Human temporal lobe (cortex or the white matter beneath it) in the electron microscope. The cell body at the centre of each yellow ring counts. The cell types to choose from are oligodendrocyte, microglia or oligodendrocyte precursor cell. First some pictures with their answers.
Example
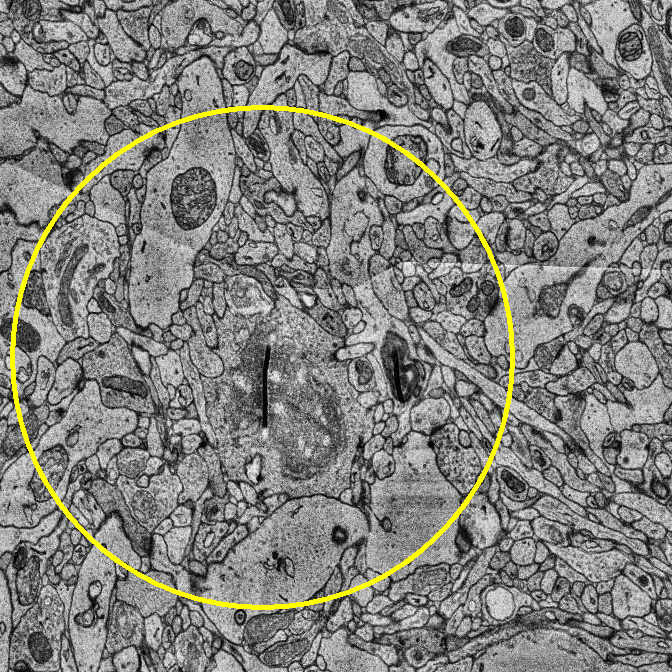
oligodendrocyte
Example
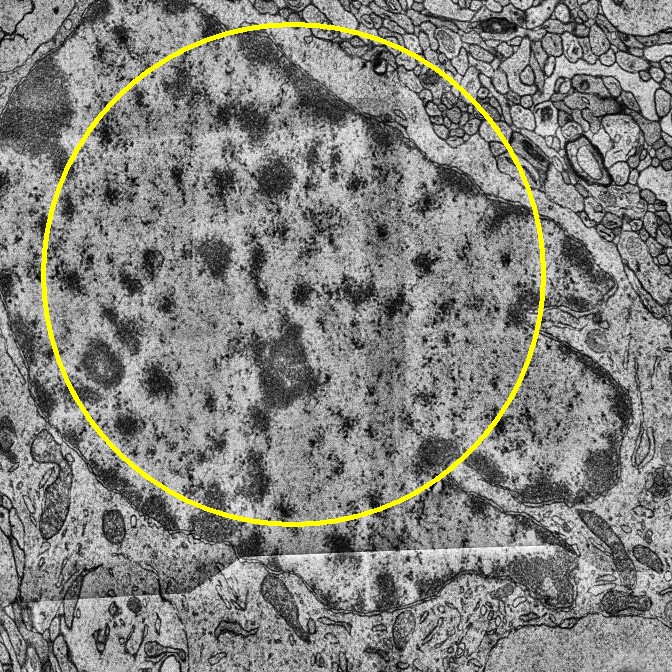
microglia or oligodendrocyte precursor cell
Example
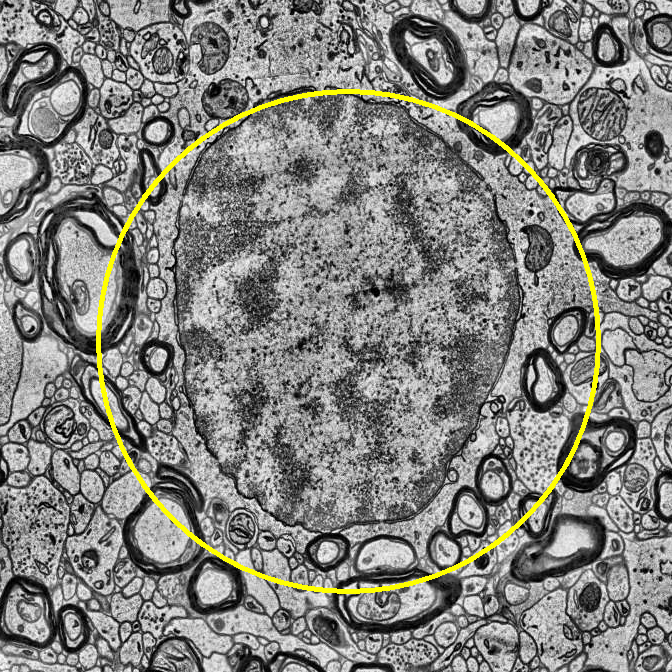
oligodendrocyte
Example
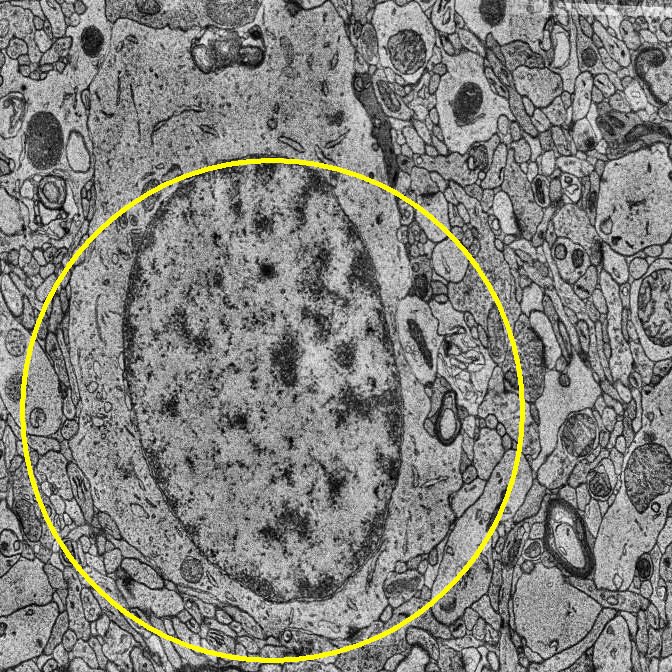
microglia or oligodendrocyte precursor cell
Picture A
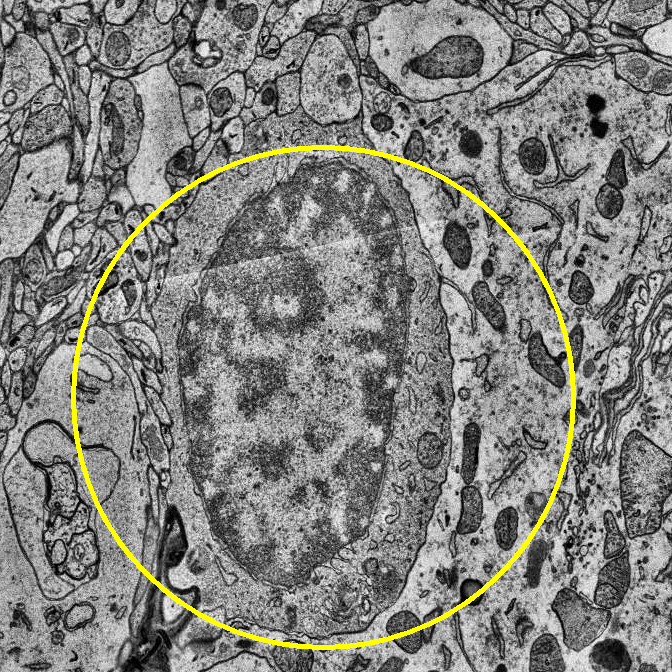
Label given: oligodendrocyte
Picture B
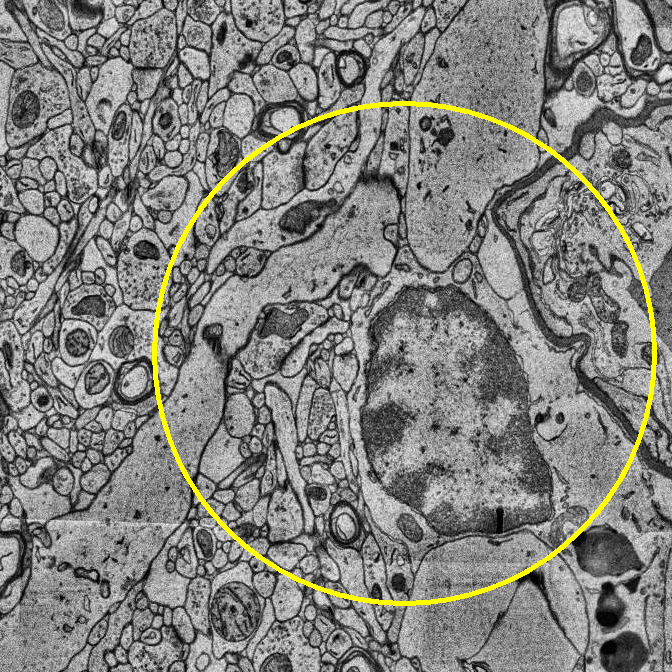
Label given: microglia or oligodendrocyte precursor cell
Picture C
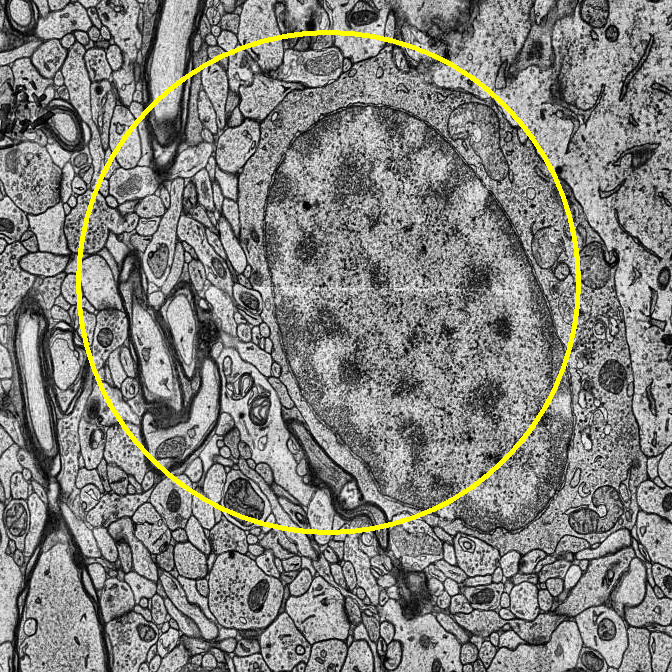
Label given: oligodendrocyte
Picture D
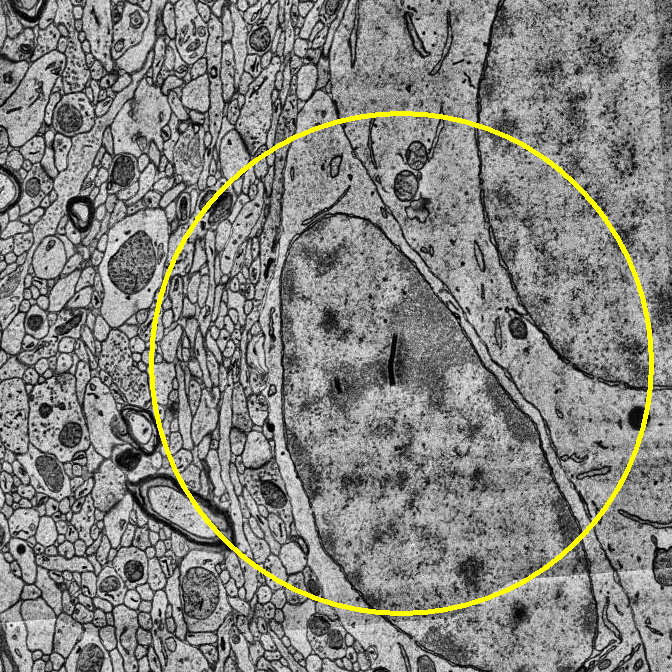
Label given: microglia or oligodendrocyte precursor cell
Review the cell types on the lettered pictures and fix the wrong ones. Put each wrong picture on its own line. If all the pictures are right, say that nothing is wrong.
All correct.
